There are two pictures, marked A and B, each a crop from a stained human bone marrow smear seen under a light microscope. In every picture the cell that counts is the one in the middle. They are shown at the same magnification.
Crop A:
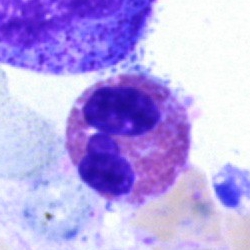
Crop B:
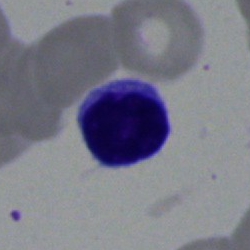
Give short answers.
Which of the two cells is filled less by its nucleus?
A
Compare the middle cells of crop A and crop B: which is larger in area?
A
